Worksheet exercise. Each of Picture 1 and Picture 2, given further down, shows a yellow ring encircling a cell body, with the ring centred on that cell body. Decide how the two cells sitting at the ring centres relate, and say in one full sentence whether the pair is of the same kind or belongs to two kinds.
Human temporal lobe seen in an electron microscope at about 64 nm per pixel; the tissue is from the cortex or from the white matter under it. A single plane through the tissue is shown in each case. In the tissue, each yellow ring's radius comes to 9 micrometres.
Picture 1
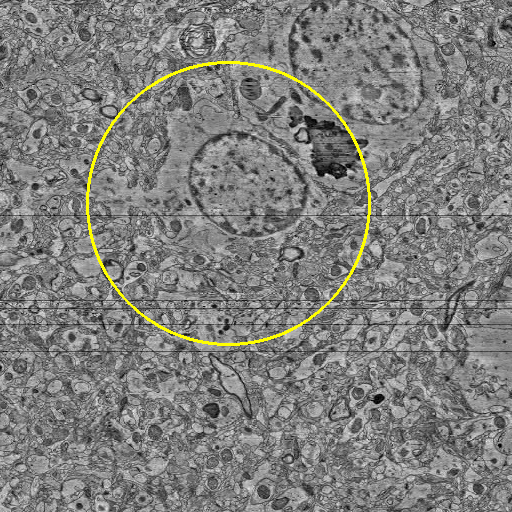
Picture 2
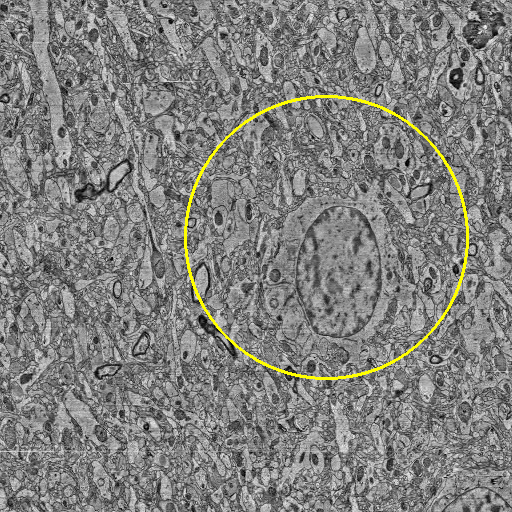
The cells at the ring centres in Picture 1 and Picture 2 are of the same kind.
